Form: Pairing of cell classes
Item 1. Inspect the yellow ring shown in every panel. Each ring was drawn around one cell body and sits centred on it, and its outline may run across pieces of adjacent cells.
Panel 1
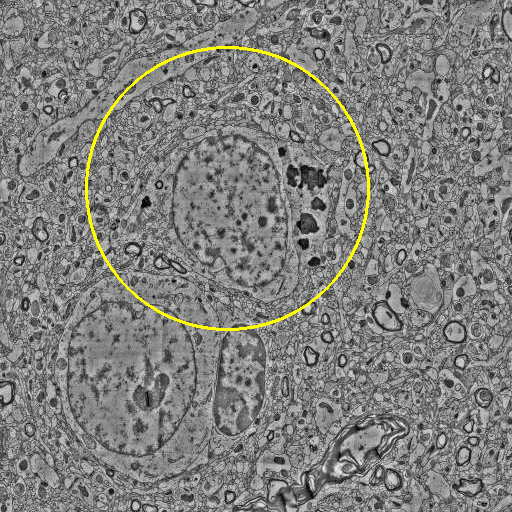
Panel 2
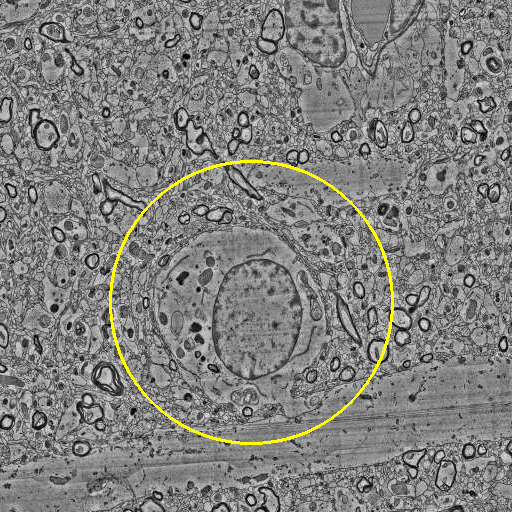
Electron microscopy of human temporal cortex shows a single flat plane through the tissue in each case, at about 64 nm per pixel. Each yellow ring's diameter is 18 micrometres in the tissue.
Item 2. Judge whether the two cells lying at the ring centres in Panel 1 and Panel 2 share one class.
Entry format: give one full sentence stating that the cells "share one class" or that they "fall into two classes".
The cells at the ring centres in Panel 1 and Panel 2 fall into two classes.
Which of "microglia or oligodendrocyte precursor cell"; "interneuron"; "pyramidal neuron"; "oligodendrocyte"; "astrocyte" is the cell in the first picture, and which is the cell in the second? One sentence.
The two differ: the first cell is an interneuron and the second is an astrocyte.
